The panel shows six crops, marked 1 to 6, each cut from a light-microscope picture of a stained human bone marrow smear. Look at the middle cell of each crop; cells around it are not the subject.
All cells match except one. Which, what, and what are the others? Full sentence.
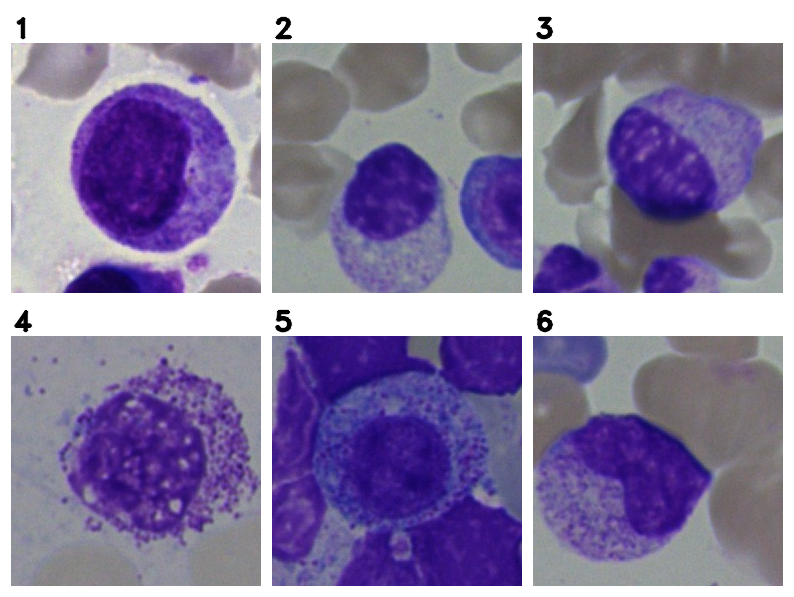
In every crop except crop 6, which shows a metamyelocyte, myelocytes are shown.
